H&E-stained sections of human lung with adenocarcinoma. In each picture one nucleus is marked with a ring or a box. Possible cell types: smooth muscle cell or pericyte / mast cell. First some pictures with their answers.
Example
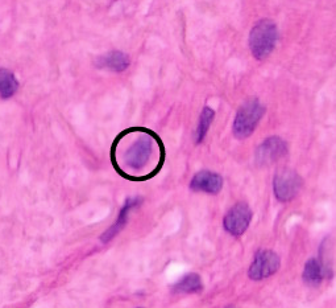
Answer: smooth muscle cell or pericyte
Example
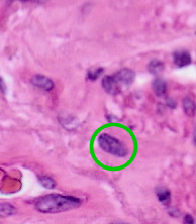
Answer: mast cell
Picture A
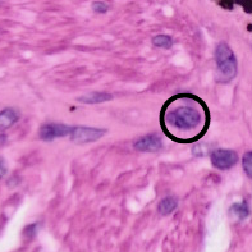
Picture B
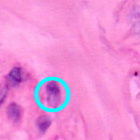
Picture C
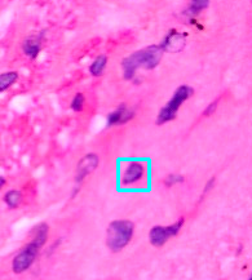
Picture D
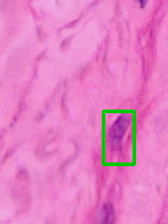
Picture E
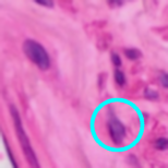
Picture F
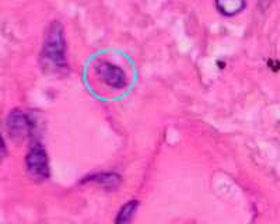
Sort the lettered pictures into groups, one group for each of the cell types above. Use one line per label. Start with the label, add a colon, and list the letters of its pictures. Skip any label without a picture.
smooth muscle cell or pericyte: B, D, E
mast cell: A, C, F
